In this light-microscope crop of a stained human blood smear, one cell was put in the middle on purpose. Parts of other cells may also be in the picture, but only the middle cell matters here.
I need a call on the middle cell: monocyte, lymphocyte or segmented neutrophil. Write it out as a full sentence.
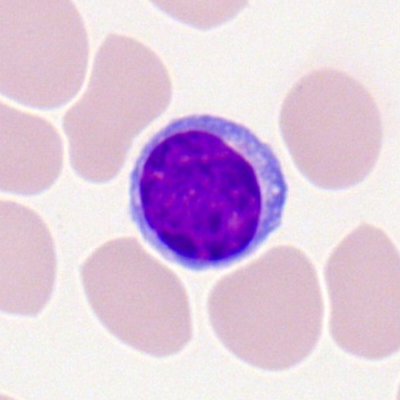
In the middle of this smear crop, the cell is a lymphocyte.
